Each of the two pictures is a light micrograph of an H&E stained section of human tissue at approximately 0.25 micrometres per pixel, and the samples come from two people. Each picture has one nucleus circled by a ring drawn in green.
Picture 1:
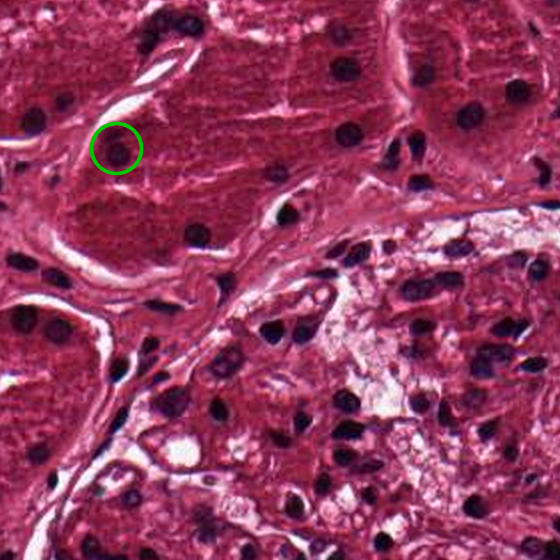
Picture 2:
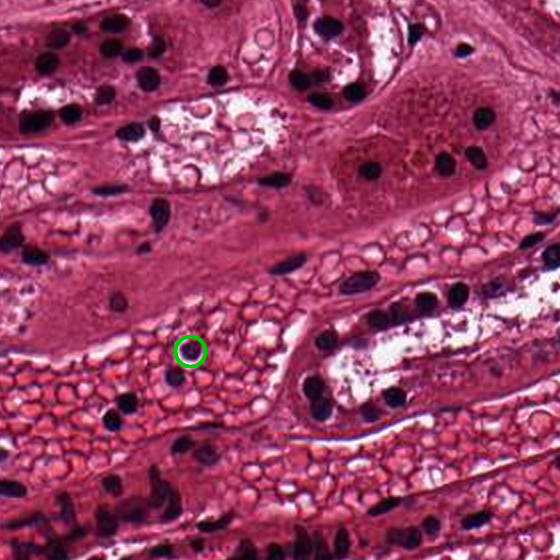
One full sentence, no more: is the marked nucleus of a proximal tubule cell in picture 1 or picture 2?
The marked nucleus that belongs to a proximal tubule cell lies in picture 1.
